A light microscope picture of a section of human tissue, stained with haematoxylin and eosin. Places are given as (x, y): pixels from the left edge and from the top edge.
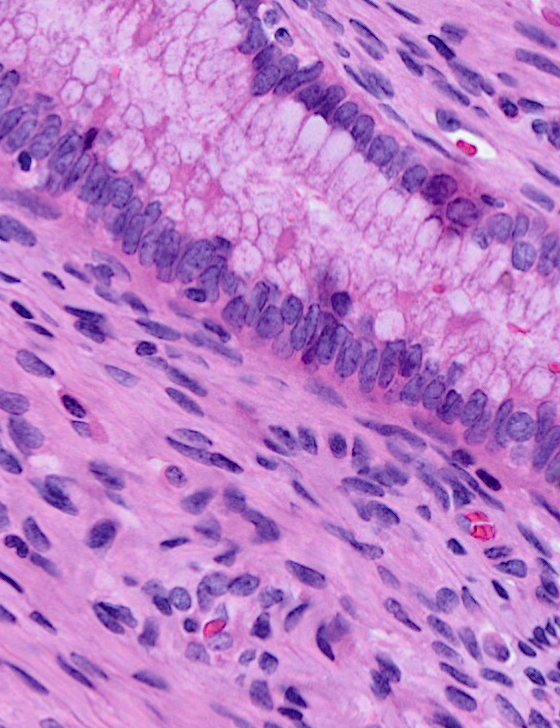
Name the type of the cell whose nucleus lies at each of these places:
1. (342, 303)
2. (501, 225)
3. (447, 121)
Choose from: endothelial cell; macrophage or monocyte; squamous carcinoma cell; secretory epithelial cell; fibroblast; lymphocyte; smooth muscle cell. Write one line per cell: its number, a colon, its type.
1: secretory epithelial cell
2: secretory epithelial cell
3: endothelial cell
